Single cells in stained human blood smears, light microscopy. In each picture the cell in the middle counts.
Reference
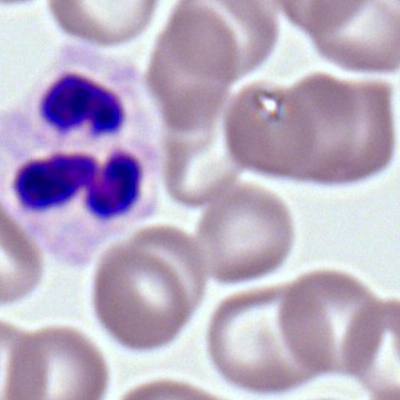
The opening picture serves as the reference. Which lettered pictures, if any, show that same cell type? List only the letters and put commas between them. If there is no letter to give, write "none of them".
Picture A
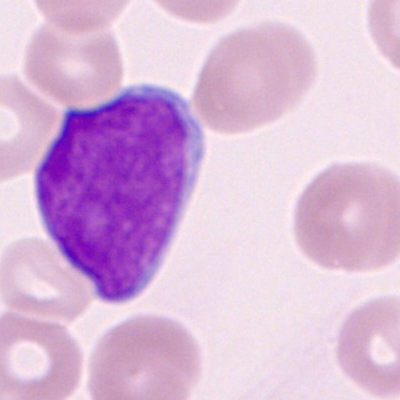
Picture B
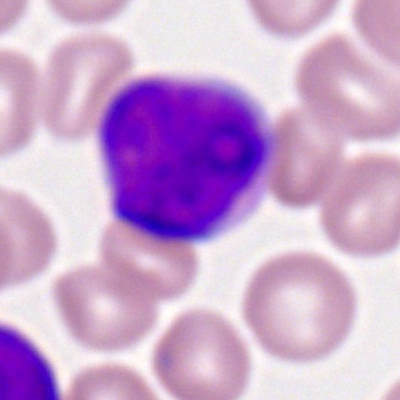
none of them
